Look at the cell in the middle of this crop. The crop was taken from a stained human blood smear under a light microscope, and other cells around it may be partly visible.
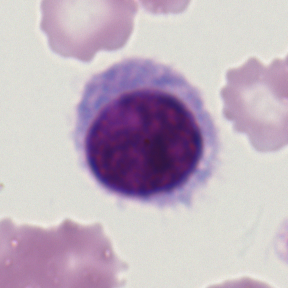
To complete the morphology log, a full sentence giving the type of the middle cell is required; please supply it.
Occupying the centre of the crop is a hairy cell.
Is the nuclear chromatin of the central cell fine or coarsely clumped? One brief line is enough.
The nucleus shows chromatin that is coarsely clumped.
